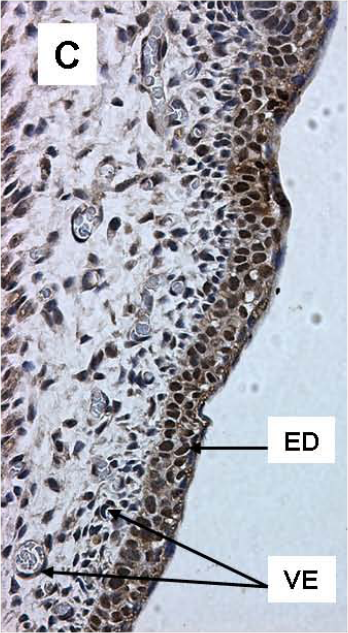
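Beneath lies loose mesenchyme of scattered spindle and stellate cells with brown-tinged nuclei and pale extracellular space. Small vessels with rounded cells in their lumens lie within the mesenchyme.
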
